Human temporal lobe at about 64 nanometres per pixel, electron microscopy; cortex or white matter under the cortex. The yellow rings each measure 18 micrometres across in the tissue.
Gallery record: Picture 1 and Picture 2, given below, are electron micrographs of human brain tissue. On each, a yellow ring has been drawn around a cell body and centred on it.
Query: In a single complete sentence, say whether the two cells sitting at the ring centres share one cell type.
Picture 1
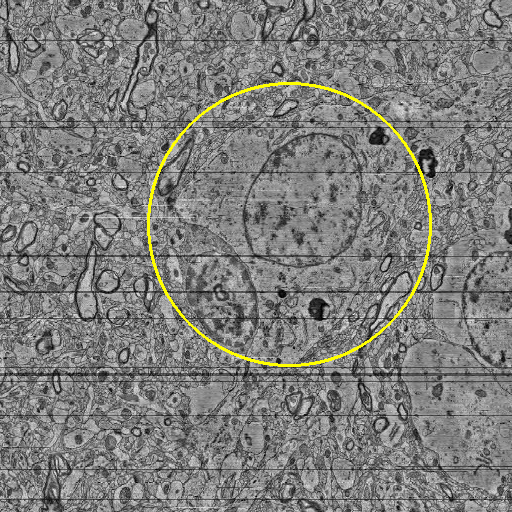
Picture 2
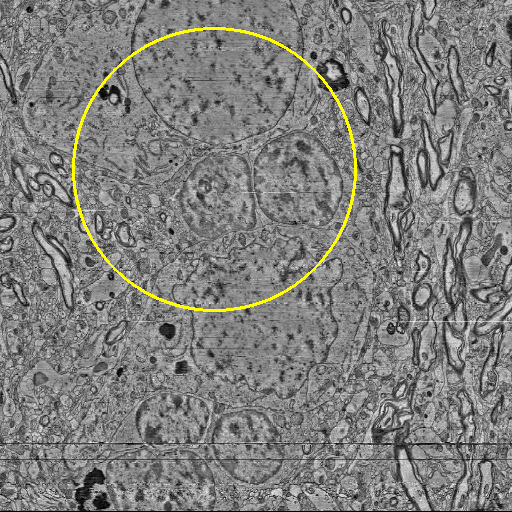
No, in the two pictures the cells at the rings' centres are of two separate types.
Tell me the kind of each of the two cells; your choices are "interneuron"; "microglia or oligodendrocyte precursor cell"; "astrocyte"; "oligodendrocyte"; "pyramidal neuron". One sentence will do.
The ringed cell is a pyramidal neuron in the first picture and an oligodendrocyte in the second picture.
